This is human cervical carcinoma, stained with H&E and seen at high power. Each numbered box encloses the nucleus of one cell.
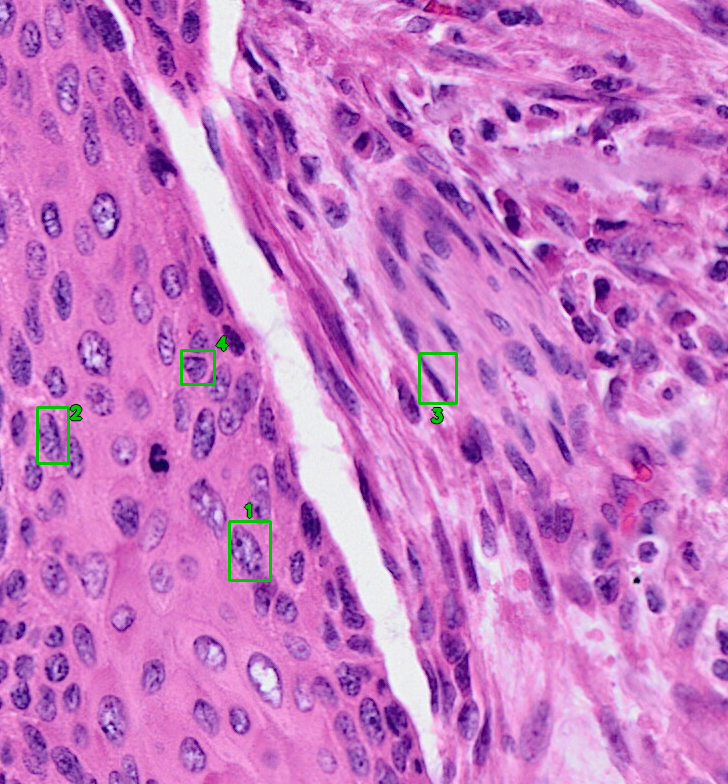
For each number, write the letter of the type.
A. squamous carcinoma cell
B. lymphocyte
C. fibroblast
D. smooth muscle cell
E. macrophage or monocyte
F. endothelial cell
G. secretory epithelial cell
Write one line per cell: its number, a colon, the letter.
1: A
2: A
3: C
4: A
